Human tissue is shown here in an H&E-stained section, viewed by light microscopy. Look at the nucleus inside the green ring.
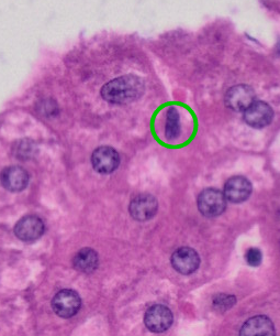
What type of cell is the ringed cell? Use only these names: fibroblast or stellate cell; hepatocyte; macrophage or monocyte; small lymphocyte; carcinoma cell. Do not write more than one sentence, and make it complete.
The cell type of the ringed cell is that of a fibroblast or stellate cell.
